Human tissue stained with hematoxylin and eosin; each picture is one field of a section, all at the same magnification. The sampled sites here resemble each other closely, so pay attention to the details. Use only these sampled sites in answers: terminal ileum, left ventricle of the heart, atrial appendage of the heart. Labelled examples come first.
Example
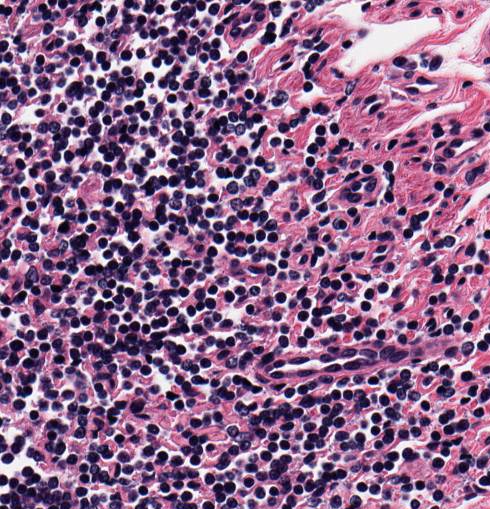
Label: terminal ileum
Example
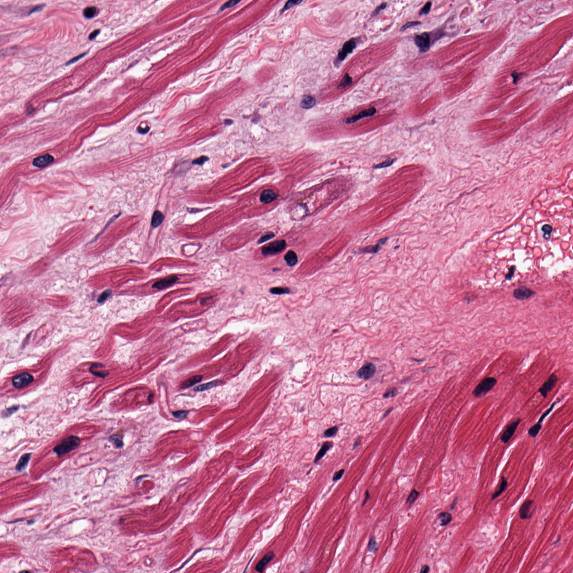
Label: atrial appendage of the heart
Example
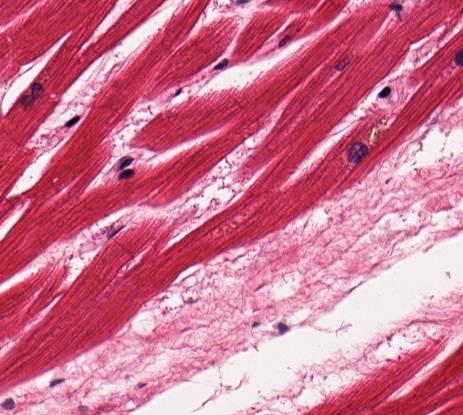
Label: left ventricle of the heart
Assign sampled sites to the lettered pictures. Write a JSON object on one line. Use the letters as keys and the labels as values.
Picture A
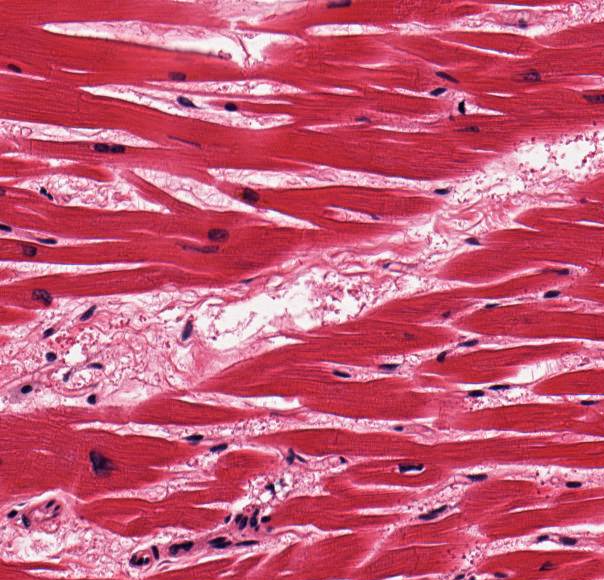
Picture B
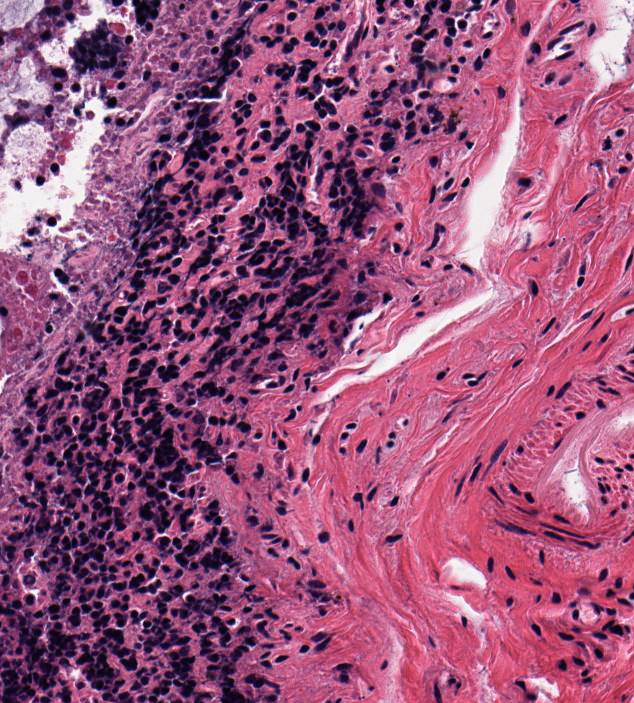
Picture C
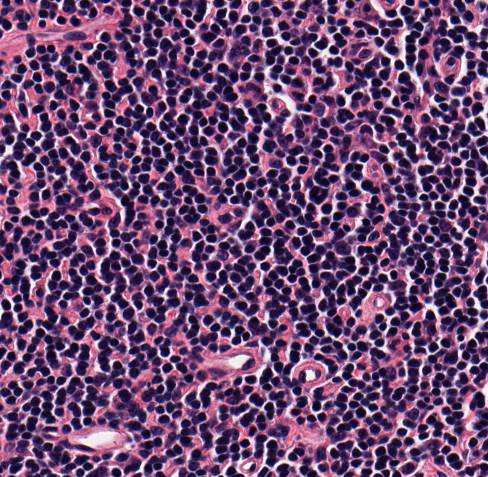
{"A": "left ventricle of the heart", "B": "terminal ileum", "C": "terminal ileum"}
